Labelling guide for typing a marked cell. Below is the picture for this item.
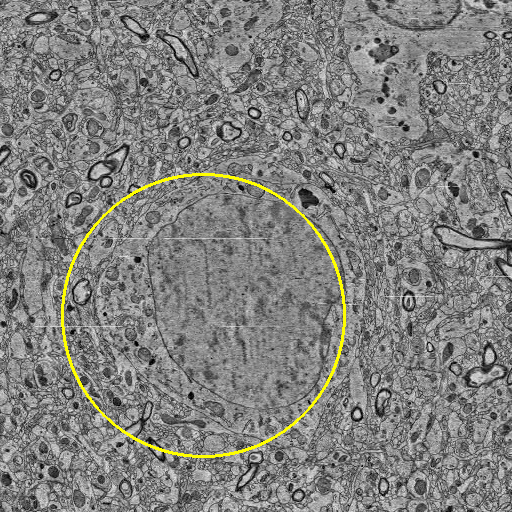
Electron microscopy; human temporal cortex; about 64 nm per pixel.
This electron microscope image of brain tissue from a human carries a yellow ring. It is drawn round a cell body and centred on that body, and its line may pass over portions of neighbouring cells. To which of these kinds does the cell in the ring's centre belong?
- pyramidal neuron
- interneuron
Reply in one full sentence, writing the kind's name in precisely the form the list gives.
Here we have a pyramidal neuron at the centre of the yellow ring in the picture.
